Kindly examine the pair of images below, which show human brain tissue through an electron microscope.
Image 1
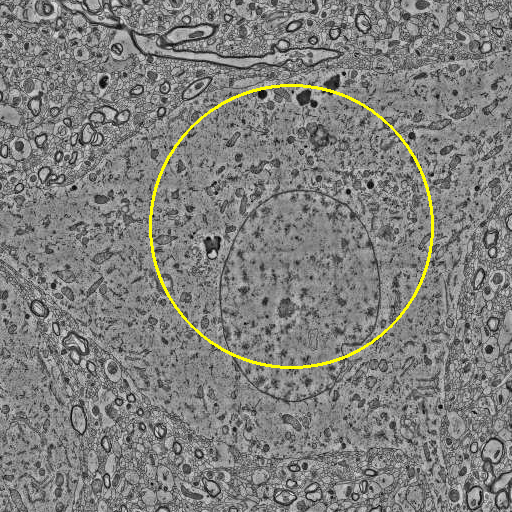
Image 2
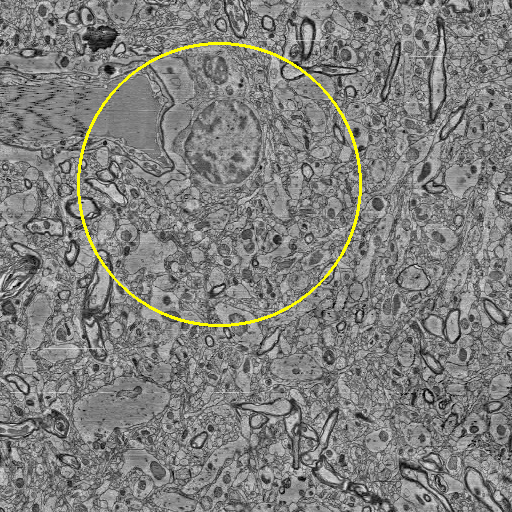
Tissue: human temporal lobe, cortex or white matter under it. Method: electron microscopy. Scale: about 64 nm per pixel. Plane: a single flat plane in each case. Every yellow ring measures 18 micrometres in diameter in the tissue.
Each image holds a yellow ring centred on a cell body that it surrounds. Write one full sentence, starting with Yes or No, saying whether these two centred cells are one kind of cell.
No, the cells at the centres of the yellow rings belong to two kinds of cell.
